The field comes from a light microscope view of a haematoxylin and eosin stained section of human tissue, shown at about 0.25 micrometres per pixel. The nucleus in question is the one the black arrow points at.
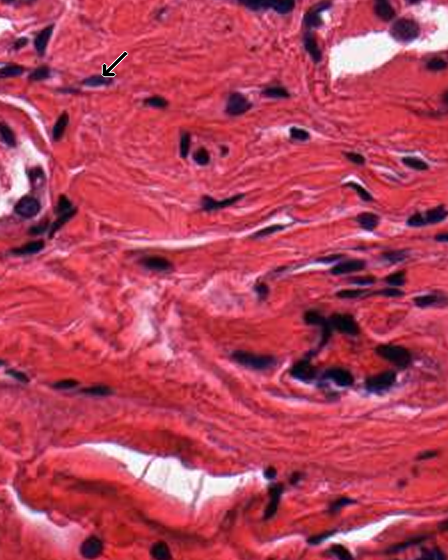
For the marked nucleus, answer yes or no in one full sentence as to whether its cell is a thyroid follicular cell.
No, the owner of the marked nucleus is a supporting cell, not a thyroid follicular cell.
